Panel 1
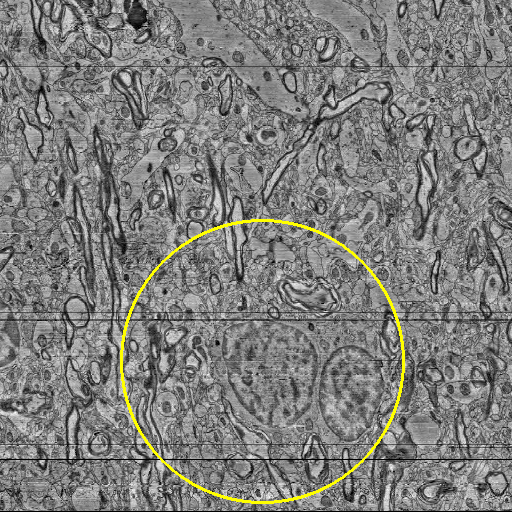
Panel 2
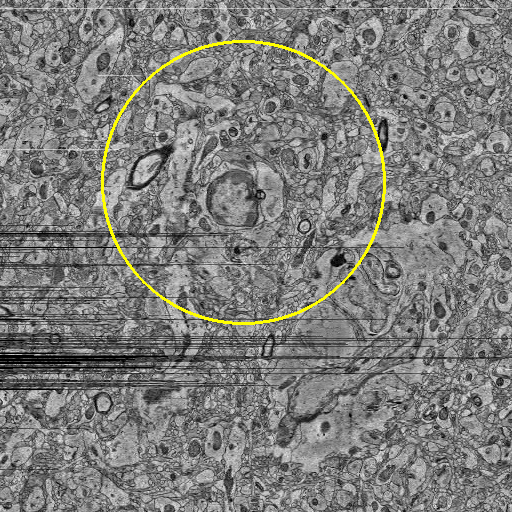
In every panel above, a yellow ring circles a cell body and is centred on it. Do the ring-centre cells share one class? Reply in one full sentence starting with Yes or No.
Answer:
No, the two cells at the ring centres in the panels belong to two classes.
